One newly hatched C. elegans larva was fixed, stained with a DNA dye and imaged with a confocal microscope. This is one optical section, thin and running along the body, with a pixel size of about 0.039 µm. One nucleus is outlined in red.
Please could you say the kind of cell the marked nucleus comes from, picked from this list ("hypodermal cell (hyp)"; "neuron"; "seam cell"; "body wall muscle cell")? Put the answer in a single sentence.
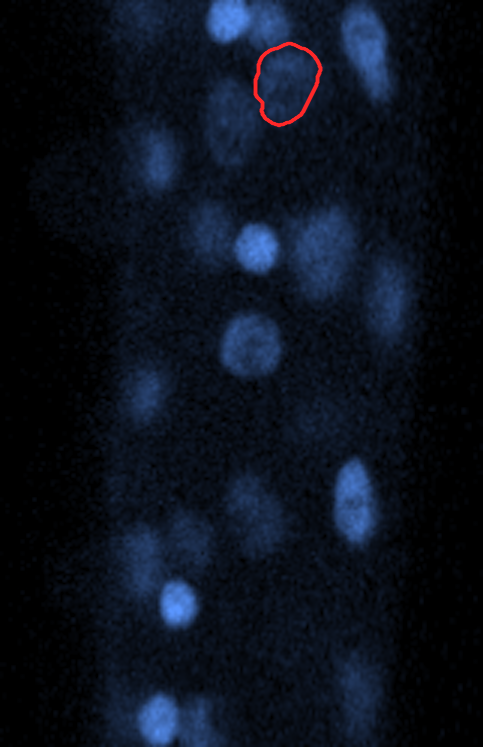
The nucleus comes from a hypodermal cell (hyp).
